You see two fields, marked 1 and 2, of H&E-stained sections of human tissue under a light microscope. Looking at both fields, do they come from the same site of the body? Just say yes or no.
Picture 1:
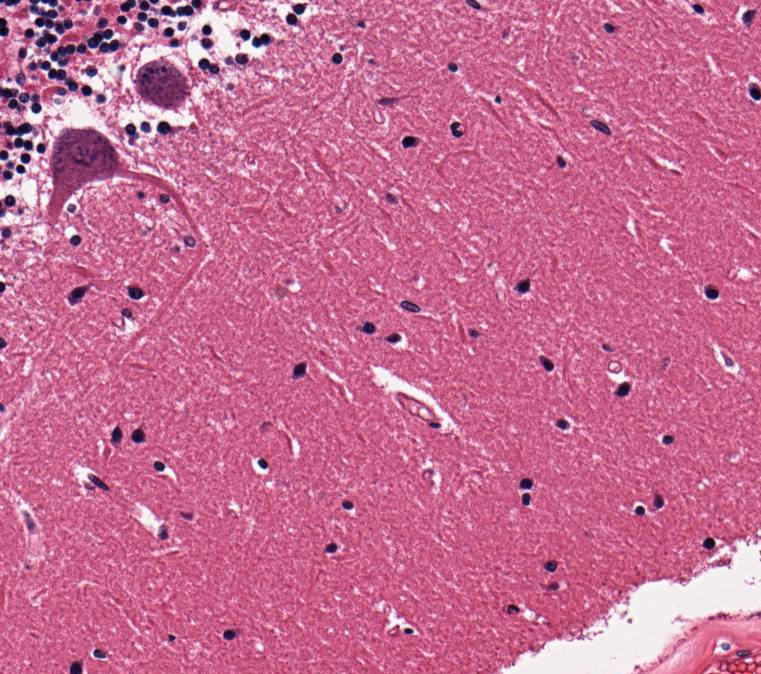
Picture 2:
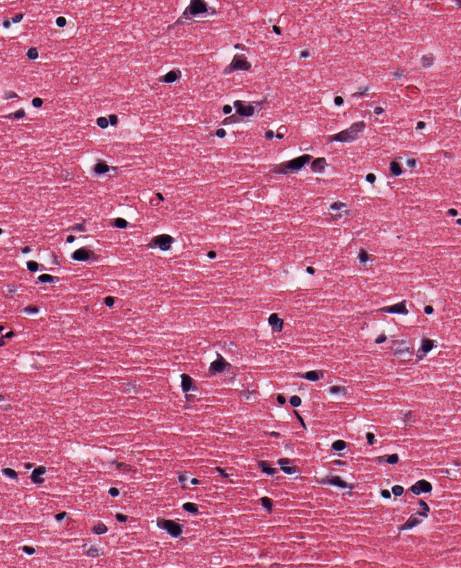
no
